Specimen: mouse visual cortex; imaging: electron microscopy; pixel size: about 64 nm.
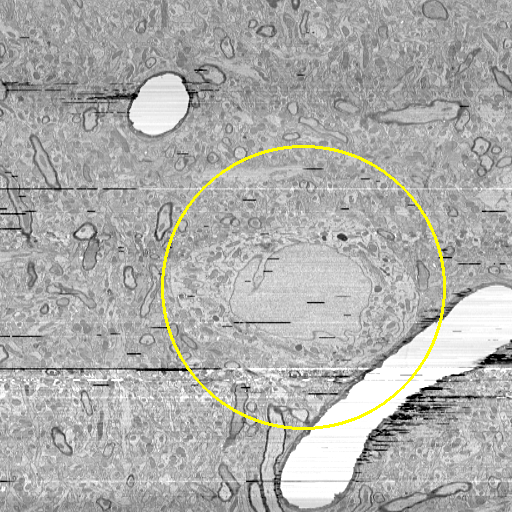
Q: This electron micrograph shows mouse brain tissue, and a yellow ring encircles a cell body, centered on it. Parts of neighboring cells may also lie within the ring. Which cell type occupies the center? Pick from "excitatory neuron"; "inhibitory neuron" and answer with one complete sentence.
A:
What sits at the ring's center in this micrograph is an inhibitory neuron, among those choices.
